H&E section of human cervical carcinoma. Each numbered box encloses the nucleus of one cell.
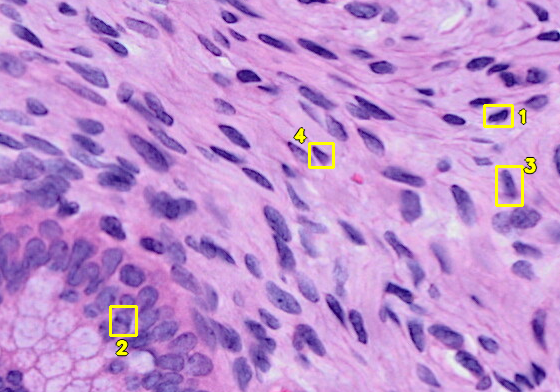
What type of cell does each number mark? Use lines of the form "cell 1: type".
cell 1: fibroblast
cell 2: secretory epithelial cell
cell 3: fibroblast
cell 4: fibroblast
